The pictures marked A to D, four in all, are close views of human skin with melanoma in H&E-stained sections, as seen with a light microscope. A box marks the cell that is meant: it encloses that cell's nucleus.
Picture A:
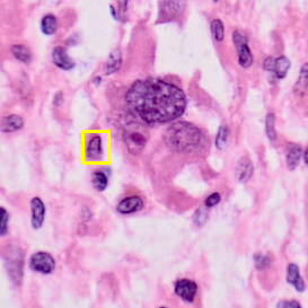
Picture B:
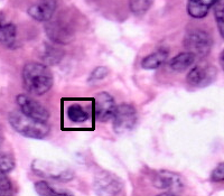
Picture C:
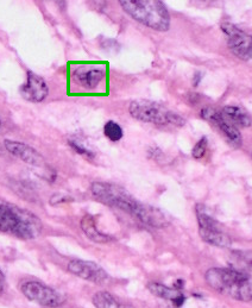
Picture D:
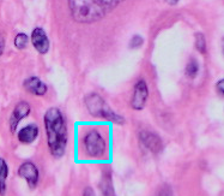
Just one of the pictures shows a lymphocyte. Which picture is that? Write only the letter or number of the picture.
B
